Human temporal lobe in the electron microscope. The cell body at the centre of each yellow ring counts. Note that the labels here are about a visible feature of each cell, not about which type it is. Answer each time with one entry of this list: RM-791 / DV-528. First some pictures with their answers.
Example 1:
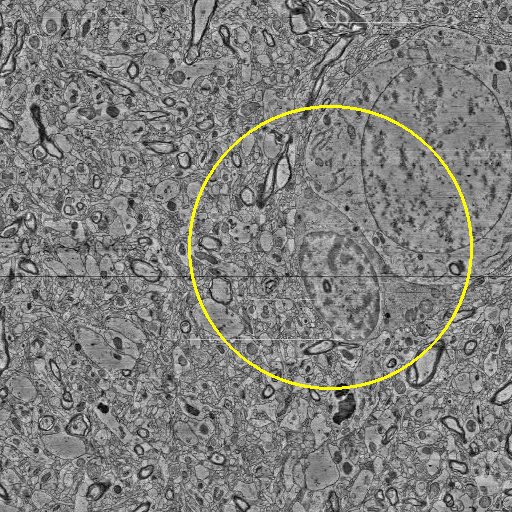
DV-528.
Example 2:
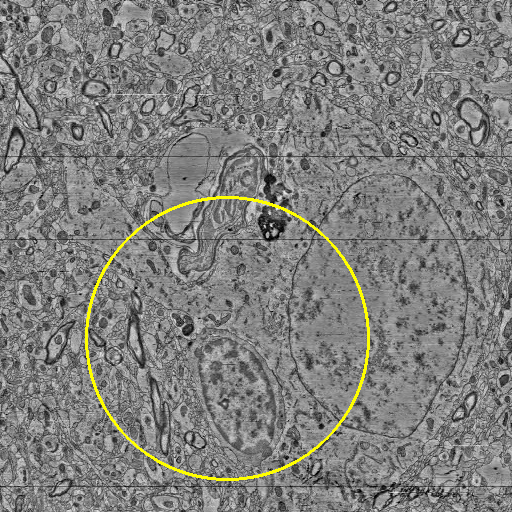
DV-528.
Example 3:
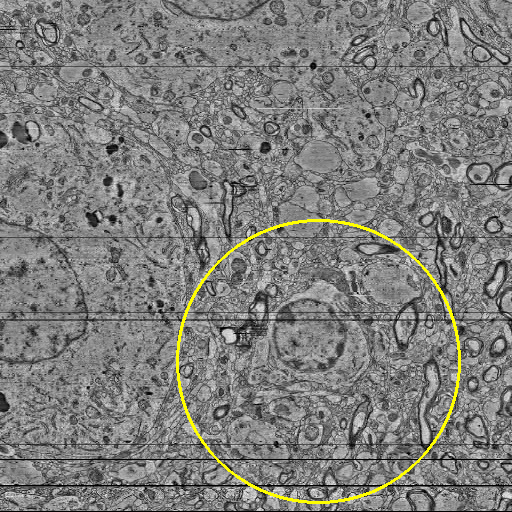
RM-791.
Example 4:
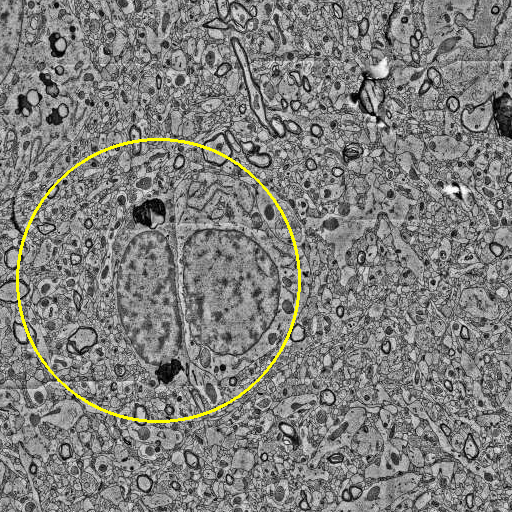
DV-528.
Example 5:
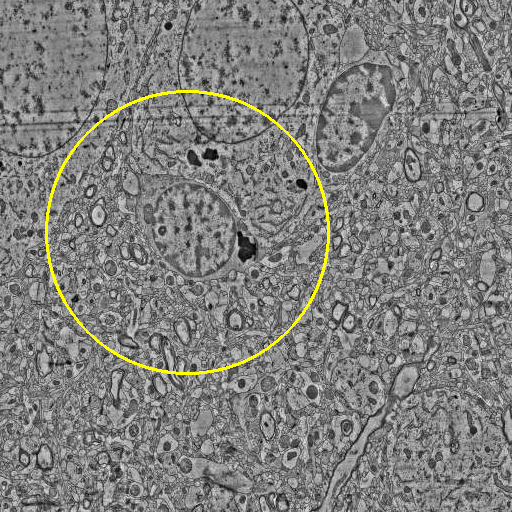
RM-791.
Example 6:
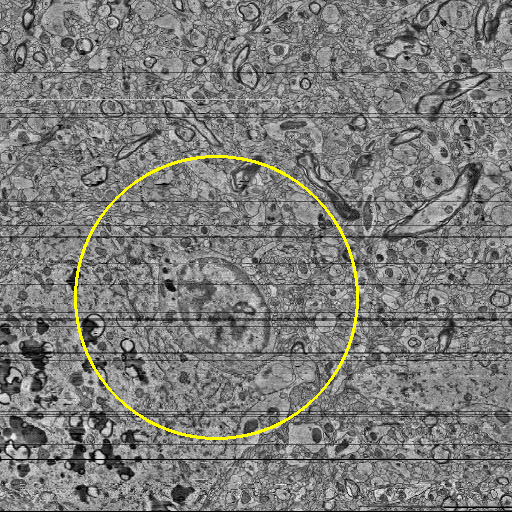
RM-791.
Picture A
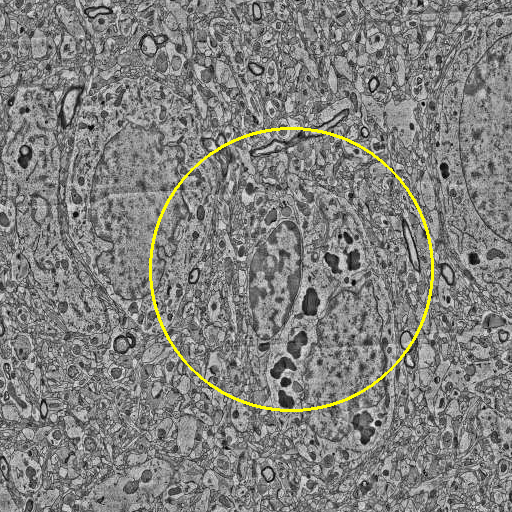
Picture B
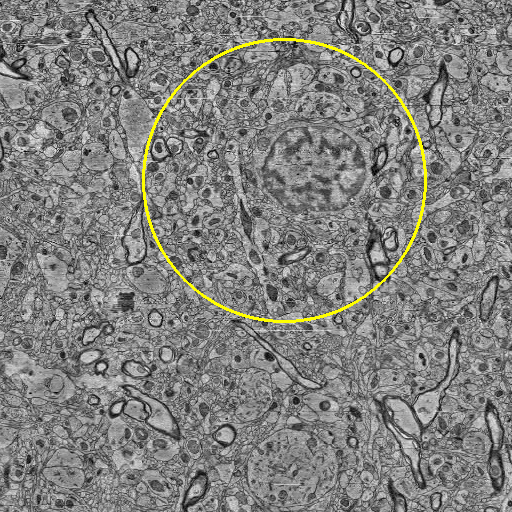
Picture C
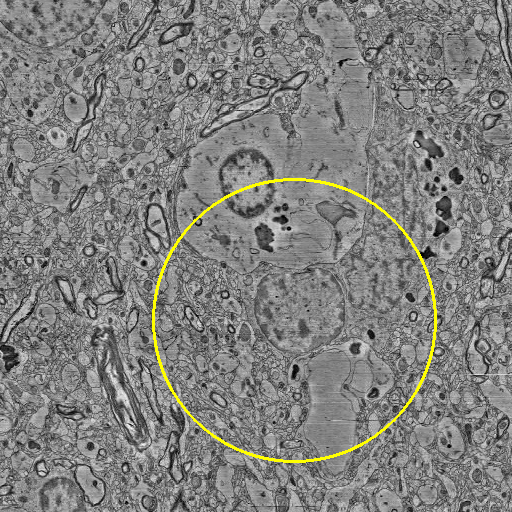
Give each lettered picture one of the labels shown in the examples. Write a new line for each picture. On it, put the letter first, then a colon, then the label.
A: DV-528.
B: RM-791.
C: RM-791.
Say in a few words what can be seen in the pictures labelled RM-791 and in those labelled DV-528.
RM-791, round or nearly round nuclei; DV-528, clearly elongated nuclei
